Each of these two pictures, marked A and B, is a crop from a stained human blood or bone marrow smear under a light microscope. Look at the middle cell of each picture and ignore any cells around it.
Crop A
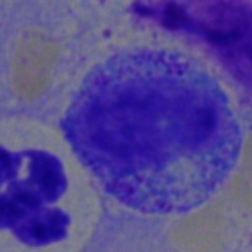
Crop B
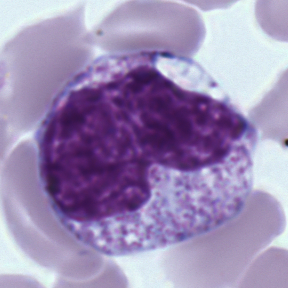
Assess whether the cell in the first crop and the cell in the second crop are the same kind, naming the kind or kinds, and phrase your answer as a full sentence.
Yes, the pair of crops both show myelocytes.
